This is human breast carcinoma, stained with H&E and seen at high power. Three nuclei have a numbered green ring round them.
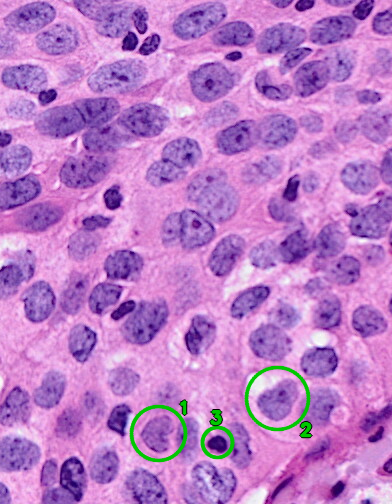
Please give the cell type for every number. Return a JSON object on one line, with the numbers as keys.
{"1": "carcinoma cell", "2": "carcinoma cell", "3": "lymphocyte"}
